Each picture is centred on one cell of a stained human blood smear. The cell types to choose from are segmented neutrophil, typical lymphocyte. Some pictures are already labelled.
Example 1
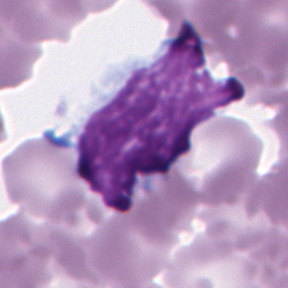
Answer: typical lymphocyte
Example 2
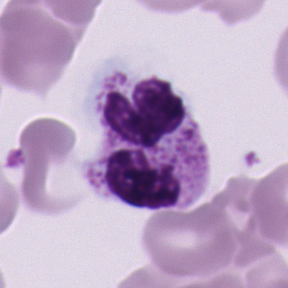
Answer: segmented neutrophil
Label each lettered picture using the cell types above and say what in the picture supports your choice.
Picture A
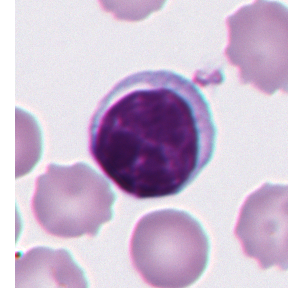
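Answer: typical lymphocyte. The cytoplasm forms a narrow rim that is widest on the upper right side.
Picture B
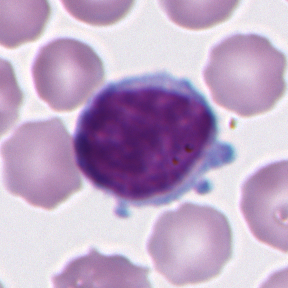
Answer: typical lymphocyte. The cytoplasm is scant, a thin rim that is widest on the right side.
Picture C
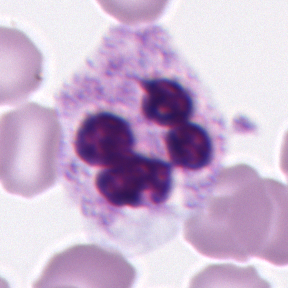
Answer: segmented neutrophil. The nuclear lobes sit in a ring around a small central patch of cytoplasm.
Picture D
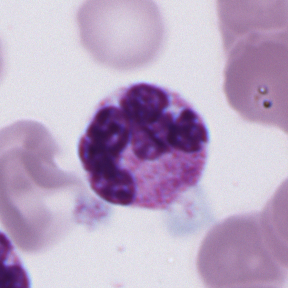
Answer: segmented neutrophil. The cytoplasm is pale pink.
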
